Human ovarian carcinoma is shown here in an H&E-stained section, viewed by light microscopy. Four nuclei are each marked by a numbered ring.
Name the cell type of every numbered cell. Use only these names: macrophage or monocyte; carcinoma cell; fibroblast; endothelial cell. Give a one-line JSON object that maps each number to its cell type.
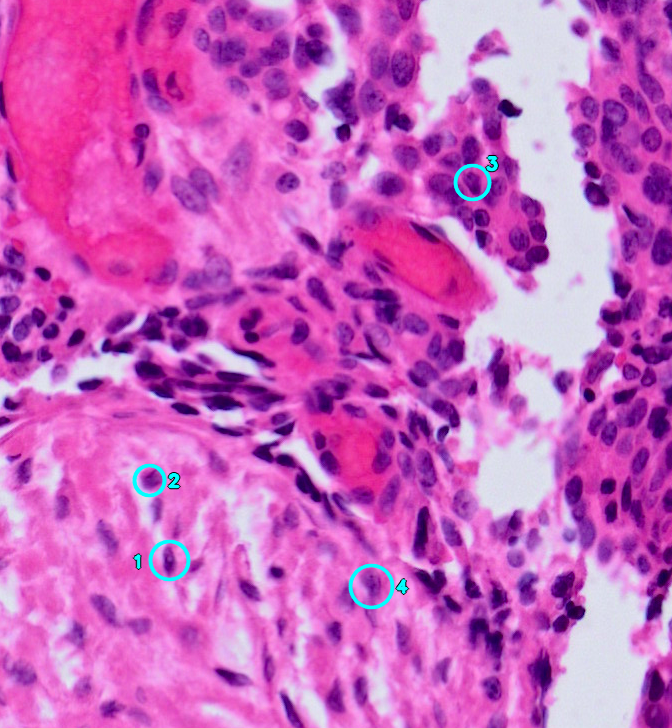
{"1": "fibroblast", "2": "fibroblast", "3": "carcinoma cell", "4": "fibroblast"}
